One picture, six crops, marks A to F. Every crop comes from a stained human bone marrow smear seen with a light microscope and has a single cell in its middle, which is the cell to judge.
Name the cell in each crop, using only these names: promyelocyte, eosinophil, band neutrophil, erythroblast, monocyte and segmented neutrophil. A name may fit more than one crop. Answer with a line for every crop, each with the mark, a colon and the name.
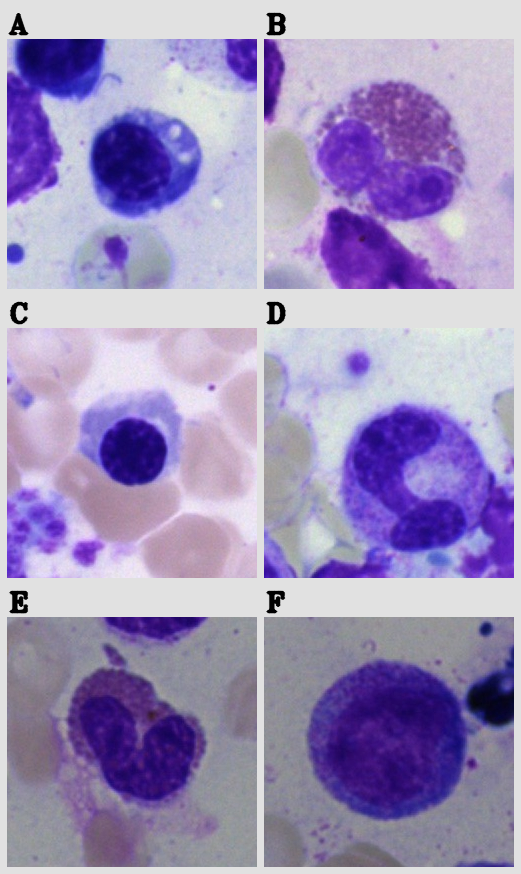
A: erythroblast
B: eosinophil
C: erythroblast
D: segmented neutrophil
E: eosinophil
F: promyelocyte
